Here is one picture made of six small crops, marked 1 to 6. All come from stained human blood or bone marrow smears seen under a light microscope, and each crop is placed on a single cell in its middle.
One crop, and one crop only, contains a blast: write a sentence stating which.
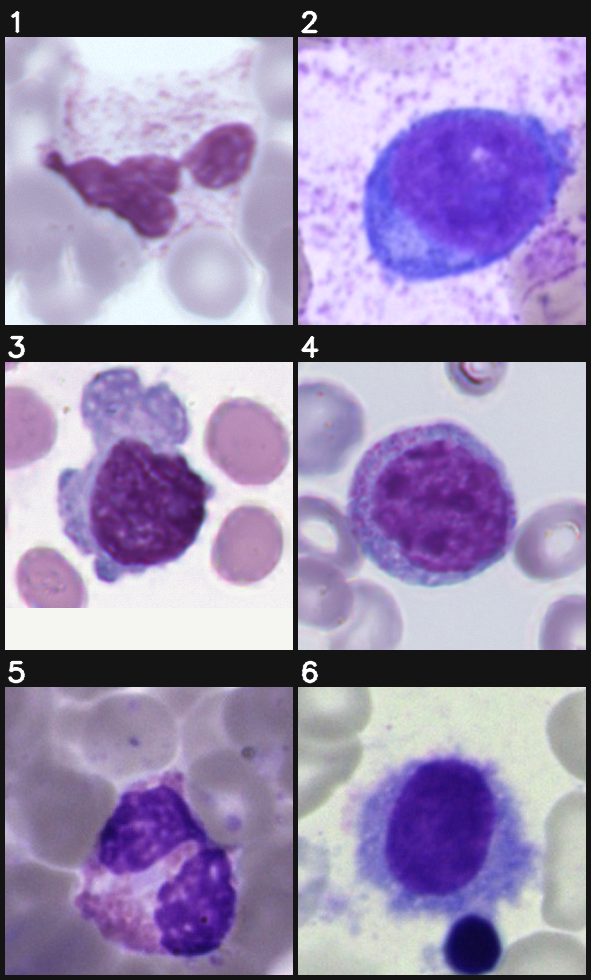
In this set, crop 2 is the one showing a blast.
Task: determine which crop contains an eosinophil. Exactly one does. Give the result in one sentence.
Crop 5 is where an eosinophil is to be found.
